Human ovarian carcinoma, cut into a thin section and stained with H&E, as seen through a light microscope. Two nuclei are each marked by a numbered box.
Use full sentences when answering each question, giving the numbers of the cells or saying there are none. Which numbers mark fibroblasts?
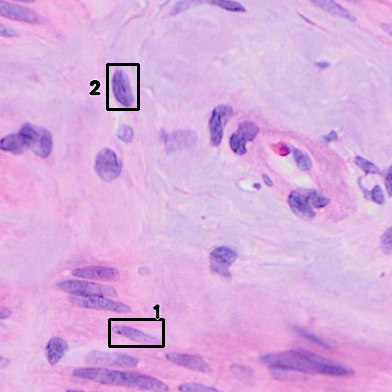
Only one choice fits: cell 2 is a fibroblast, and no other.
